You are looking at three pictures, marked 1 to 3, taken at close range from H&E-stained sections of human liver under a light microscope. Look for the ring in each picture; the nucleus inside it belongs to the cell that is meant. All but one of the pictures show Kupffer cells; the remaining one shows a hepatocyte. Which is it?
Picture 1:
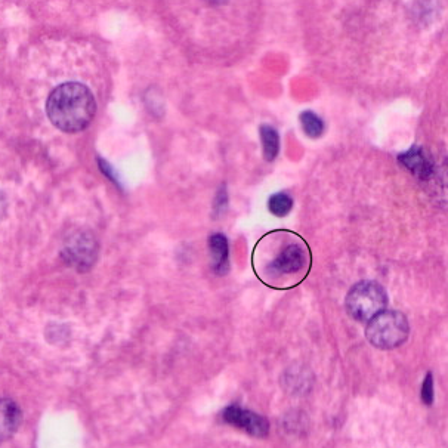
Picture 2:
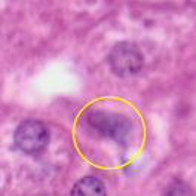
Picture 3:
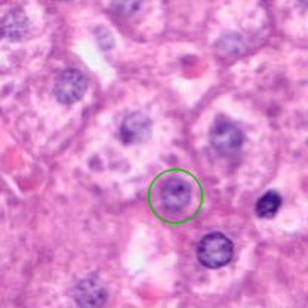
3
